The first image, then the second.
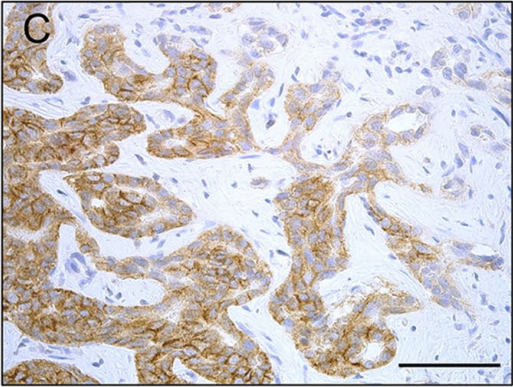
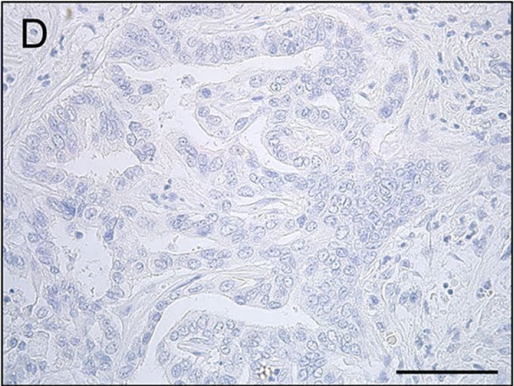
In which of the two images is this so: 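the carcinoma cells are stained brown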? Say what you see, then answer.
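Second image: tumour glands are only blue and pale, with no brown. First image: tumour cell cords are strongly brown. On this evidence: the first image.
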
